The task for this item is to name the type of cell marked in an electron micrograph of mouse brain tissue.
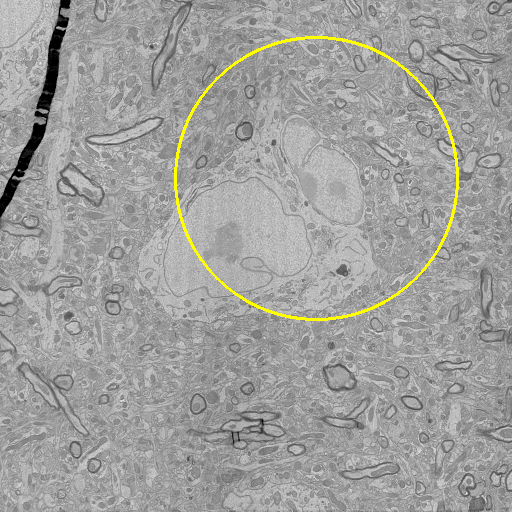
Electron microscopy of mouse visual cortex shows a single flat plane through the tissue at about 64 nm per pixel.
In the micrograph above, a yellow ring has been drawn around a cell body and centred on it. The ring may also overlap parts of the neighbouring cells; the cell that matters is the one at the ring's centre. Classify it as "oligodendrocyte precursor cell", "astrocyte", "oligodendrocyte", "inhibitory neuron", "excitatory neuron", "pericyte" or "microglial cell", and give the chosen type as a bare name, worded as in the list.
oligodendrocyte precursor cell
